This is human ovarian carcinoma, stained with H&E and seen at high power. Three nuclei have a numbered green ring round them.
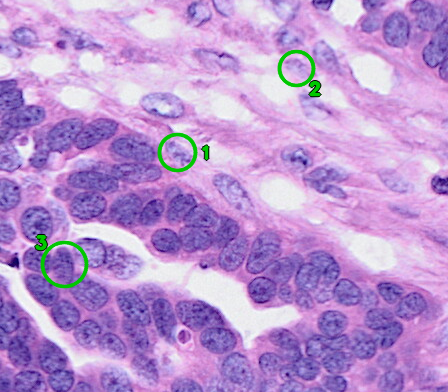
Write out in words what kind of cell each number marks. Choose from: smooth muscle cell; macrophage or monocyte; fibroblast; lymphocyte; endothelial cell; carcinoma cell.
Cells 1 and 2 are fibroblasts. Cell 3 is a carcinoma cell.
